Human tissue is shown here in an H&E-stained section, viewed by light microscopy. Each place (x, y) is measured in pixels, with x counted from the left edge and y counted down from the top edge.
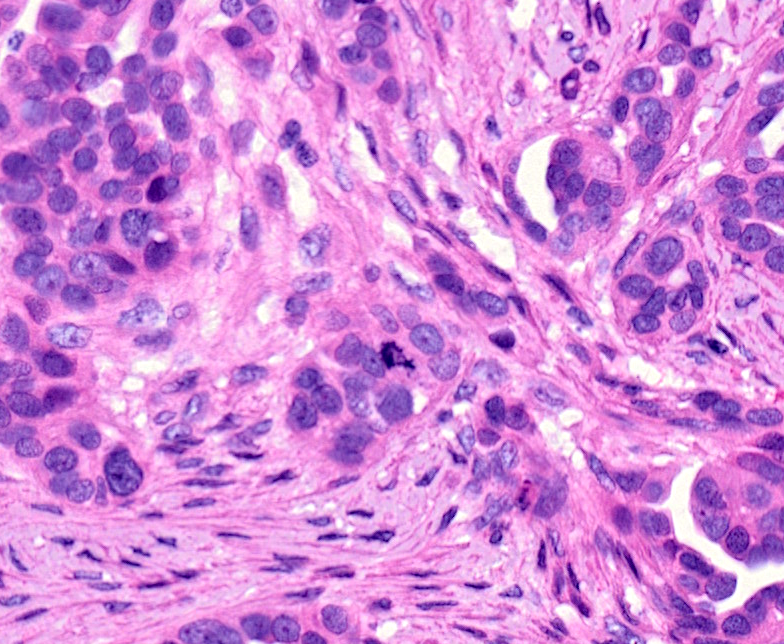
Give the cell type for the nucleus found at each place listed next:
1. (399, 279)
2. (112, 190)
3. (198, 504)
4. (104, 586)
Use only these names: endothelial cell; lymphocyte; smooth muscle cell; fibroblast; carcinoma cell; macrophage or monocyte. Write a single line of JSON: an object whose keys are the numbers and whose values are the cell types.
{"1": "fibroblast", "2": "carcinoma cell", "3": "fibroblast", "4": "fibroblast"}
